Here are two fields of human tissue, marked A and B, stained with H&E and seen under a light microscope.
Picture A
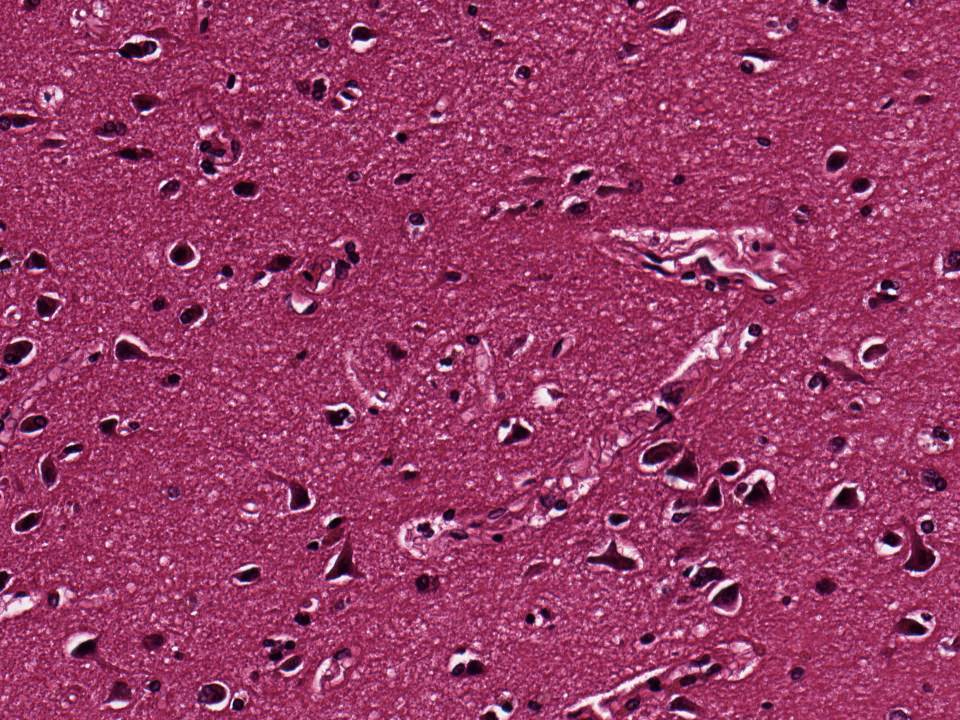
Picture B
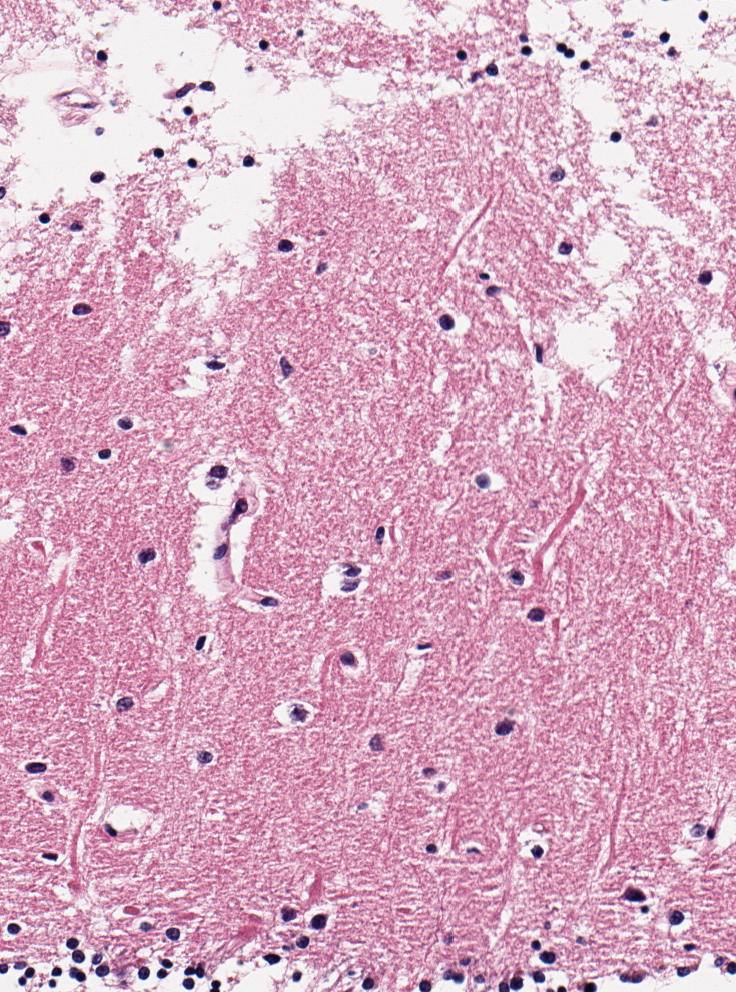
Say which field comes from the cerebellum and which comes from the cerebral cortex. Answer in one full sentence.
It is picture A that comes from the cerebral cortex, and picture B that comes from the cerebellum.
